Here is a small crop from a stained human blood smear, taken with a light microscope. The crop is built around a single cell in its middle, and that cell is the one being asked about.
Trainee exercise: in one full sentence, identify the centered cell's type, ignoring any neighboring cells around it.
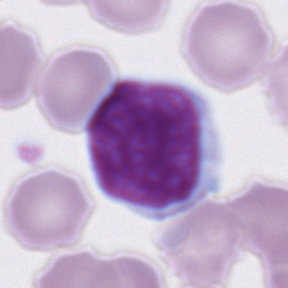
Looking at the middle of the crop, the cell there is a typical lymphocyte.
